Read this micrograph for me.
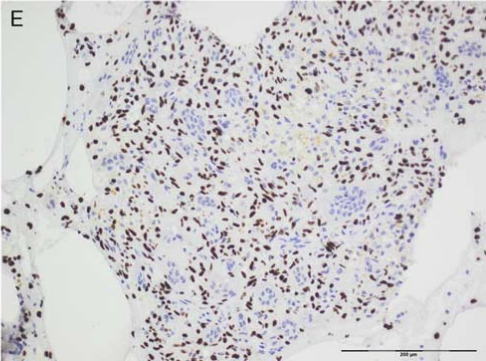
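The many oval to spindle-shaped nuclei of the mononuclear cells are stained strongly dark brown throughout the fragment. The large multinucleated giant cells stand out as groups of pale blue, unstained nuclei clustered together. They are scattered among the brown nuclei, giving a patchy pattern of blue islands in a brown field. Clear spaces border the fragment.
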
